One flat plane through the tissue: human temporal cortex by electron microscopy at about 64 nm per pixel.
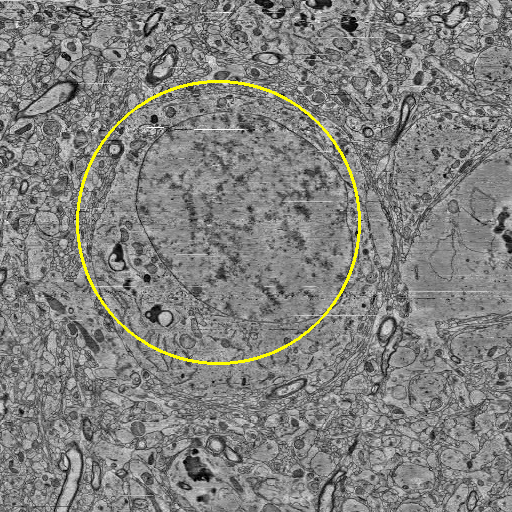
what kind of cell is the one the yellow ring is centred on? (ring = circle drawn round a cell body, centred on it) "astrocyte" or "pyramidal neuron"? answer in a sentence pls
The ring is drawn around a pyramidal neuron.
